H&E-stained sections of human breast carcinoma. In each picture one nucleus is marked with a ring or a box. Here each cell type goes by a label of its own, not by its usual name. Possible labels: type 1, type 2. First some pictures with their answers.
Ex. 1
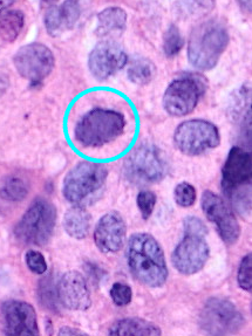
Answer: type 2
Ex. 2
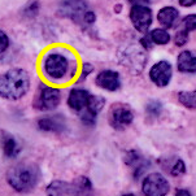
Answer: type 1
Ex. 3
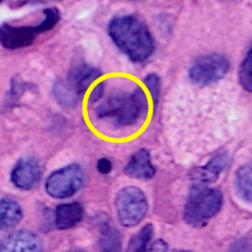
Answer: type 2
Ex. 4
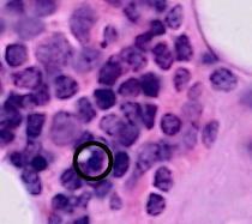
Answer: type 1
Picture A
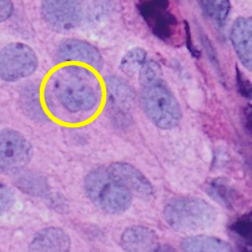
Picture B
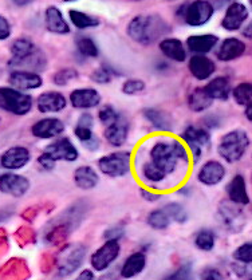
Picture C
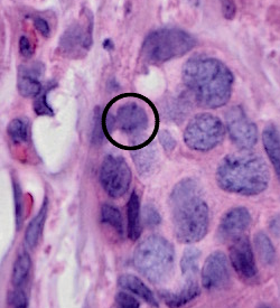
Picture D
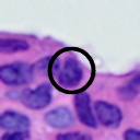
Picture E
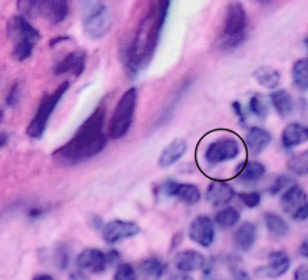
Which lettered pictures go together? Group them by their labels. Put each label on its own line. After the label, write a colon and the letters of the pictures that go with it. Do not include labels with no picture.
type 1: B, E
type 2: A, C, D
